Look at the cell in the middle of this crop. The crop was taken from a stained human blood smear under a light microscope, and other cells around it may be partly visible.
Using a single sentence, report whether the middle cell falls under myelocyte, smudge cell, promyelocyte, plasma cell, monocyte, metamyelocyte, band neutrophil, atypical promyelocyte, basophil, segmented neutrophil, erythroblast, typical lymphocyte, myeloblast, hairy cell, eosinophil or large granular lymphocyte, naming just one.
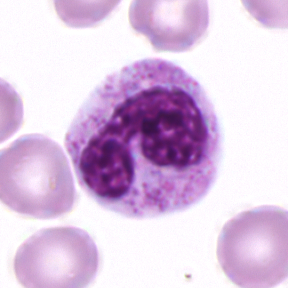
Framed in the middle of the crop is a band neutrophil.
